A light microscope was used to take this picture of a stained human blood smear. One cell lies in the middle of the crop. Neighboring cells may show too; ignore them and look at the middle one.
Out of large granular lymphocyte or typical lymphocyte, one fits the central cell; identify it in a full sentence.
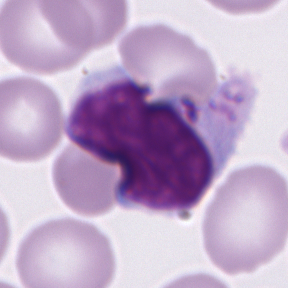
The cell in the middle of this crop is a large granular lymphocyte.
